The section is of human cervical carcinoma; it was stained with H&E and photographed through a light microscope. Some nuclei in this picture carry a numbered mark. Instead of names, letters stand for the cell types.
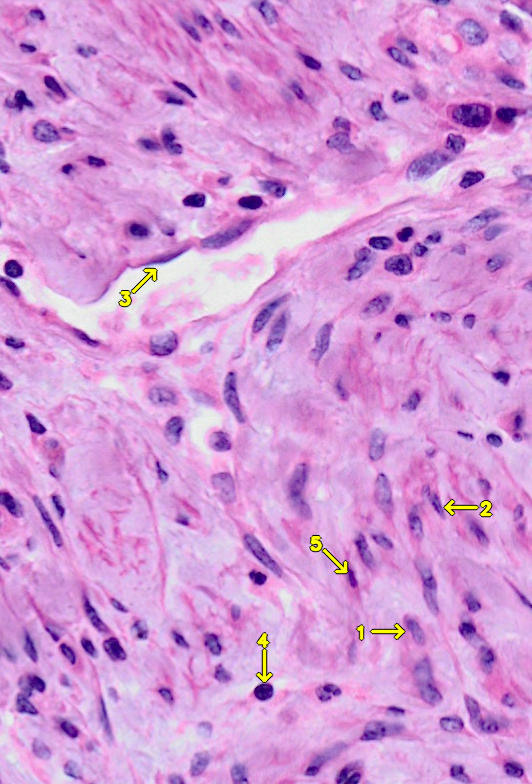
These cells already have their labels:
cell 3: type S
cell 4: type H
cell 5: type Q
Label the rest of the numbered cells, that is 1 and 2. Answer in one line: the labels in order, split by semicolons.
type Q; type Q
